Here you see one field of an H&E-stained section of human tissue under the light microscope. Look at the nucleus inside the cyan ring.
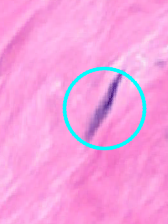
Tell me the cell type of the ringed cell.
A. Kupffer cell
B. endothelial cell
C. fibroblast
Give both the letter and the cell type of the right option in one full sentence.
The statement that the ringed cell is a fibroblast corresponds to option C, the correct one.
